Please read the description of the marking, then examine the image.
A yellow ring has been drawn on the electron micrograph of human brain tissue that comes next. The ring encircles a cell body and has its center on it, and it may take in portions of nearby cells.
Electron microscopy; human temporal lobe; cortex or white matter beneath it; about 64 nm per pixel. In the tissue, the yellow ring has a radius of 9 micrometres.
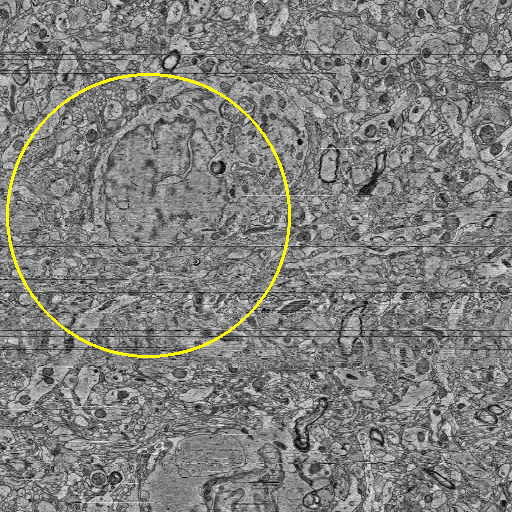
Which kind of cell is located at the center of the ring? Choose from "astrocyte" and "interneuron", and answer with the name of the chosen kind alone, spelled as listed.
interneuron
